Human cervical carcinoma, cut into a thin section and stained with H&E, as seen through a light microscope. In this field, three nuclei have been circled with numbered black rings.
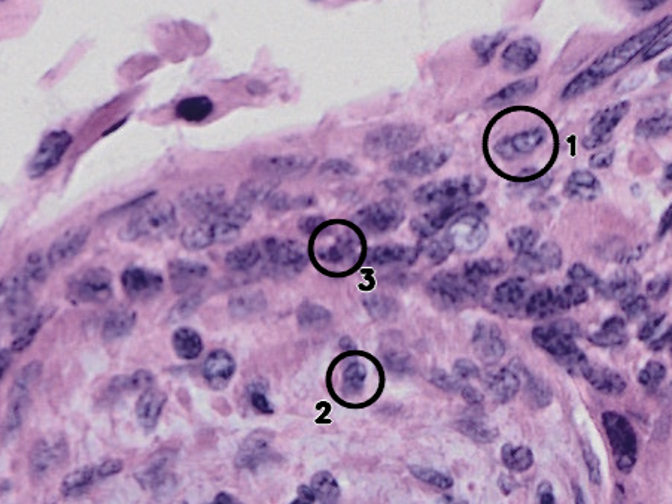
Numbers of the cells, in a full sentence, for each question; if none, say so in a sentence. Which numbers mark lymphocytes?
Among the labelled cells, only the cell labelled 2 is a lymphocyte.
